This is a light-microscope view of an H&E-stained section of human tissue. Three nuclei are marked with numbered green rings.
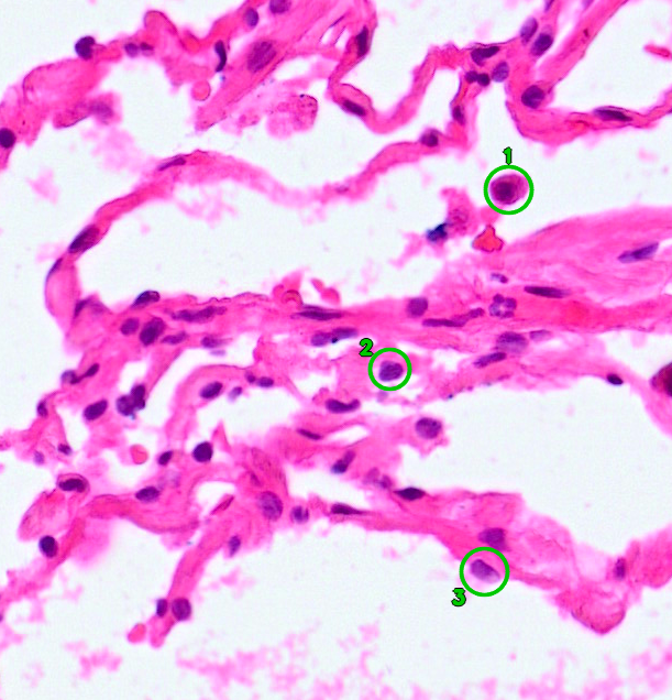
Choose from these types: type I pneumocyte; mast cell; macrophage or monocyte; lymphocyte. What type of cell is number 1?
macrophage or monocyte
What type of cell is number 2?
lymphocyte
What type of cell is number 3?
type I pneumocyte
